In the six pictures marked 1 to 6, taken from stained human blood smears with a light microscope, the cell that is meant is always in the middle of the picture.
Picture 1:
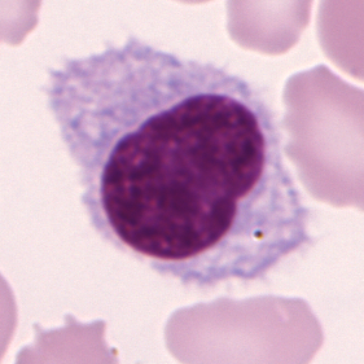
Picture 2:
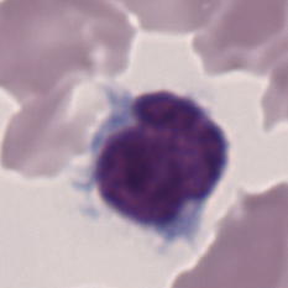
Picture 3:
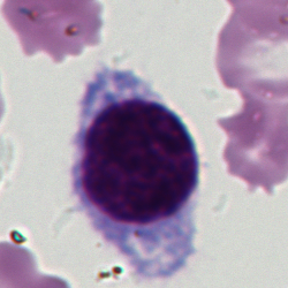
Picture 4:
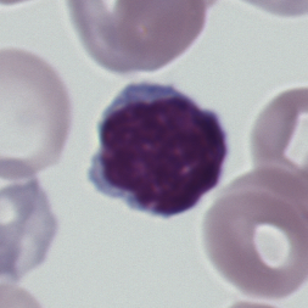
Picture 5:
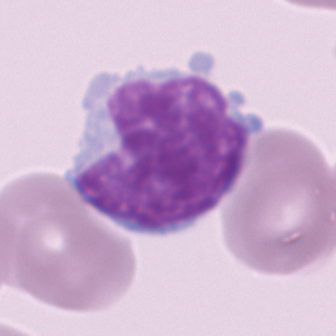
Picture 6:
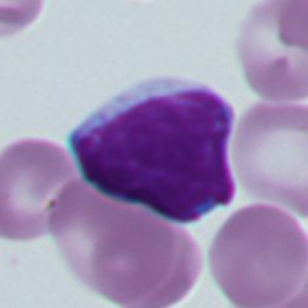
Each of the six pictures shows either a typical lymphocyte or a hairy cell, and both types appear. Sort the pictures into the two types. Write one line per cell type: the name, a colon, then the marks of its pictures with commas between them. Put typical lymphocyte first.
typical lymphocyte: 4, 5, 6
hairy cell: 1, 2, 3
